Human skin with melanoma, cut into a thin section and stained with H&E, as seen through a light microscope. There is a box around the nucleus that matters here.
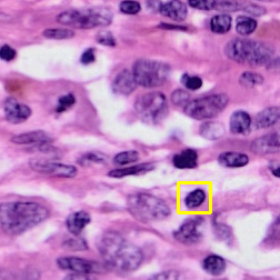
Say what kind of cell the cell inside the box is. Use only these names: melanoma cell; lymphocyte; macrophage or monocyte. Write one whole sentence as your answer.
The cell inside the box appears to be a lymphocyte.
